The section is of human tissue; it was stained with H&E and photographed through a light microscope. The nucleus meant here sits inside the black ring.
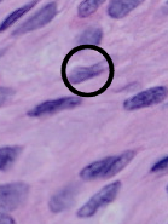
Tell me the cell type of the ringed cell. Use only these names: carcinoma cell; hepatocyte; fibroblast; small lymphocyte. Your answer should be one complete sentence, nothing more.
Students should answer that the ringed cell is a fibroblast.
